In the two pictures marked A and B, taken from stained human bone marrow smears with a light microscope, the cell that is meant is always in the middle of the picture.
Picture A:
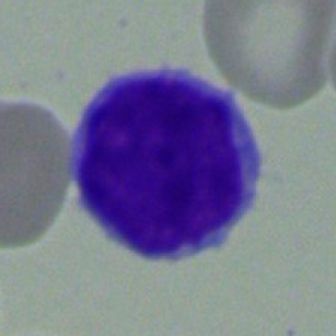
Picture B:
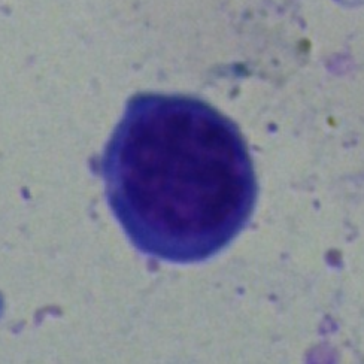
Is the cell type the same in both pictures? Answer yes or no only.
no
